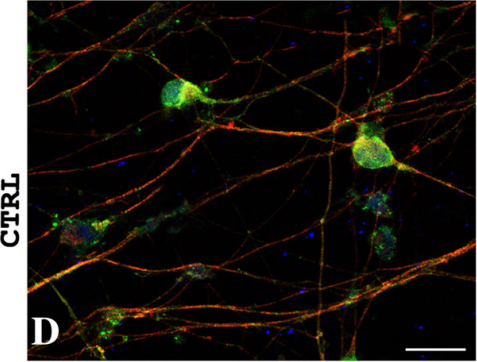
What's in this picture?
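A dense network of fine, evenly thin red and orange fibres crosses the field, with a few rounded cell bodies showing green-yellow signal sitting along them. The processes are long, straight to gently curved and of uniform calibre, without swellings. These are cultured neurons with a regular network of processes.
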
